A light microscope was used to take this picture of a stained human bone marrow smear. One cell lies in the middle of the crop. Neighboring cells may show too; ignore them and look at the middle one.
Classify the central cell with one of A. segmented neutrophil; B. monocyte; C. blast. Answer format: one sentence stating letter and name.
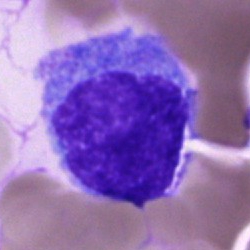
In the centre of the crop there is a monocyte, making option B correct.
